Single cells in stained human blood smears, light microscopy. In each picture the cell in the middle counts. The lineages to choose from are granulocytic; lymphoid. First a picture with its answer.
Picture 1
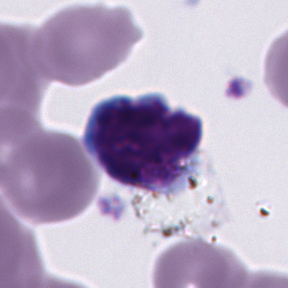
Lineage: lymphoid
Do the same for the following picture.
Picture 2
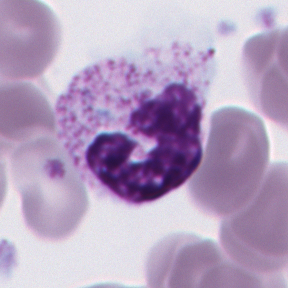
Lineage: granulocytic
